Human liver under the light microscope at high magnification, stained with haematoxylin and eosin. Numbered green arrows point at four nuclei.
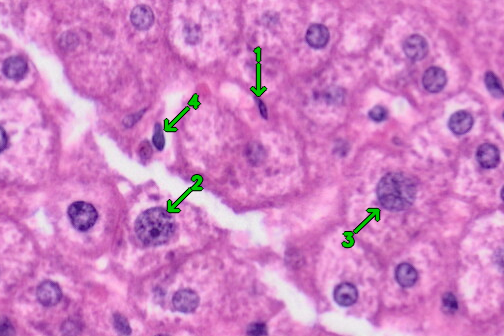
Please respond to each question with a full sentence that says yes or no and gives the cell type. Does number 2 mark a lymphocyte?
No, cell 2 represents a hepatocyte rather than a lymphocyte.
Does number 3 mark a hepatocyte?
Yes, correct, the cell with the number 3 is a hepatocyte.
